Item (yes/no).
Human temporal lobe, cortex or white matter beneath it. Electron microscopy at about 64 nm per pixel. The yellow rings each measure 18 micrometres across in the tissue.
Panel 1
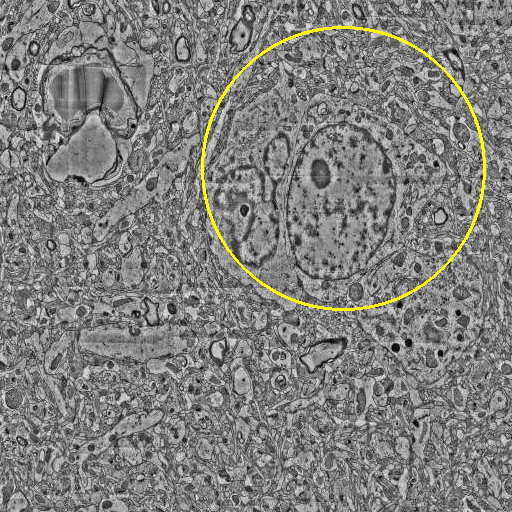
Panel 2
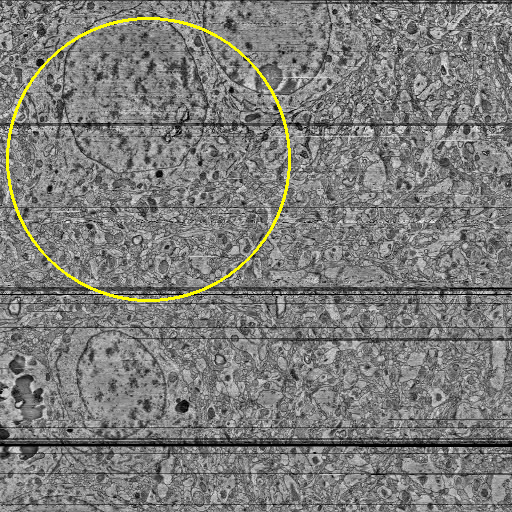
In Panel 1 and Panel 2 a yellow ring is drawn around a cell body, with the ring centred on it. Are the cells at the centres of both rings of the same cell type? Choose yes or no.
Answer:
yes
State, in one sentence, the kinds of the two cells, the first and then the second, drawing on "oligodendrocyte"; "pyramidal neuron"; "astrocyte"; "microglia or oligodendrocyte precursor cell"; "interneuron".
Each of the two rings is centred on a pyramidal neuron.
